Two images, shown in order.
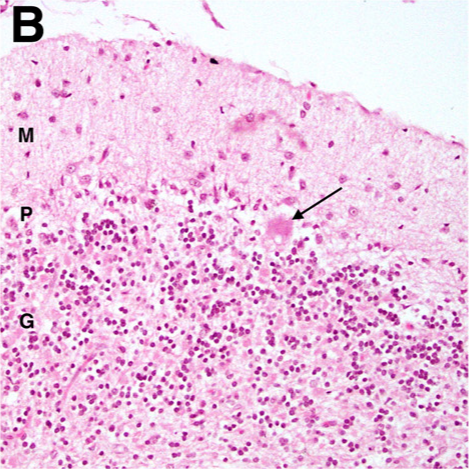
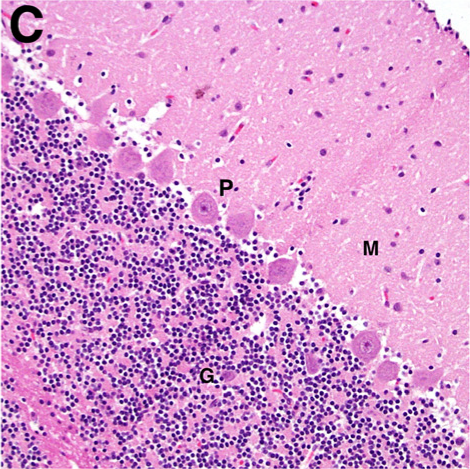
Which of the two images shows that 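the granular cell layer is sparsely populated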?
the first image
